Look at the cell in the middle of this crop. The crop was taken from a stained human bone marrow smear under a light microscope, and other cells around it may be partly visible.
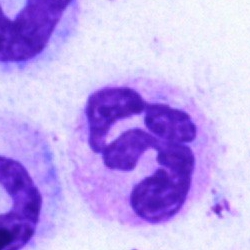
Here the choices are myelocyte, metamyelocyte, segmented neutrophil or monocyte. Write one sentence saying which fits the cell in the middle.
In this crop, the cell at the very middle is a segmented neutrophil.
